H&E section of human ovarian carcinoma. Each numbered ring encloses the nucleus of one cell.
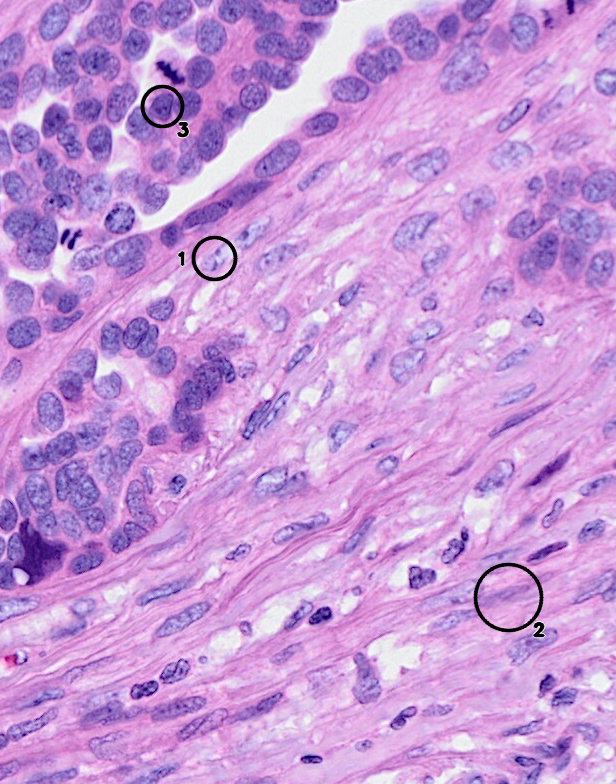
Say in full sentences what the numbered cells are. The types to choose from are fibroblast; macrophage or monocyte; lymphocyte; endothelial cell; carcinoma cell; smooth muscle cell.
Cells 1 and 2 are fibroblasts. Cell 3 is a carcinoma cell.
